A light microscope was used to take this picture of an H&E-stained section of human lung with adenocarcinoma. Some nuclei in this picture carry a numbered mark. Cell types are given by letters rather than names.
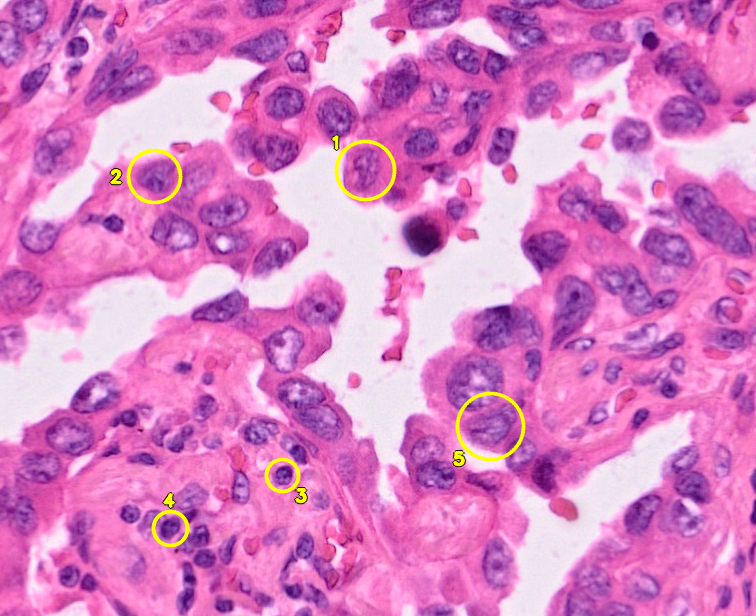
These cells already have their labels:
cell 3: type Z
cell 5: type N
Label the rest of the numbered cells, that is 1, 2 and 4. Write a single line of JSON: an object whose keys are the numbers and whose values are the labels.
{"1": "type N", "2": "type N", "4": "type Z"}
